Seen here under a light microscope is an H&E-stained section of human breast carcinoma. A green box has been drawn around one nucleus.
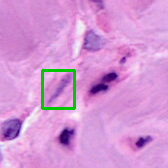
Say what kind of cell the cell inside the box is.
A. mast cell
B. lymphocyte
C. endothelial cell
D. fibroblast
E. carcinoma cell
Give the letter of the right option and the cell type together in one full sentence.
Here the correct option is D, since the cell inside the box is a fibroblast.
